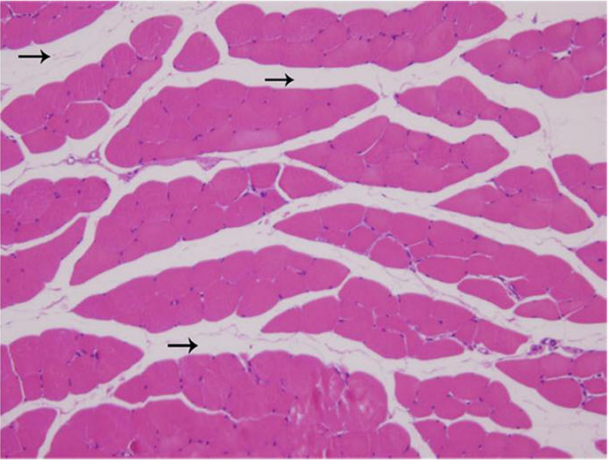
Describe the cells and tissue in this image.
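This is a cross-section of skeletal muscle. Its fibers are cut transversely and stain pink. They are polygonal and packed into fascicles. Small dark purple nuclei sit at the edges of the fibers. Wide, pale, almost empty spaces separate the fascicles and in places the fibers themselves, and the arrows point to these enlarged spaces between muscle fibers. Only fine wisps of connective tissue cross these gaps.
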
